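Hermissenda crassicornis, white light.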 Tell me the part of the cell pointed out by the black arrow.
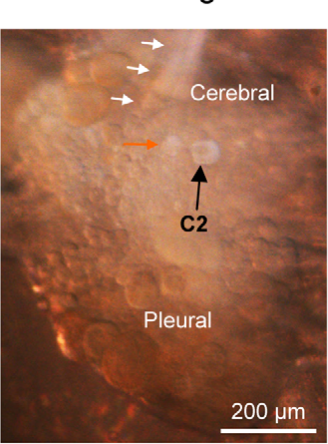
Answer: soma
